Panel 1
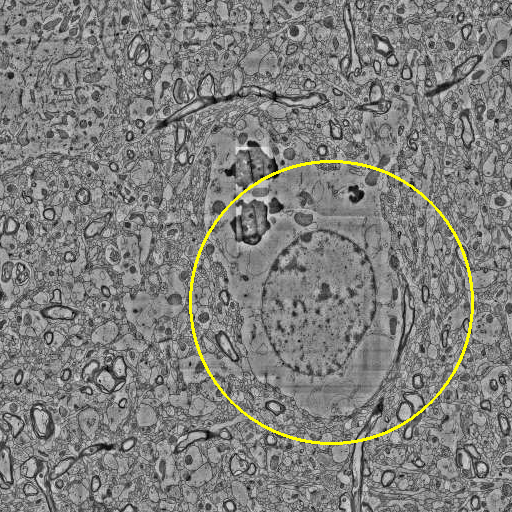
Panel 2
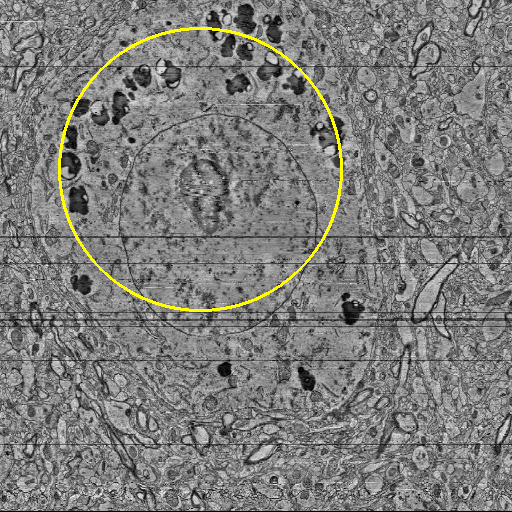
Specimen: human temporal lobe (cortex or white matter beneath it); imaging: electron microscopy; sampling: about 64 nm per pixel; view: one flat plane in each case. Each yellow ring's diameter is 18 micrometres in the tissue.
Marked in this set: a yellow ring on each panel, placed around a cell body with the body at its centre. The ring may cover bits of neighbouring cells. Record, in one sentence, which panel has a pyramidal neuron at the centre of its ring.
Panel 2 has it at the centre of its ring.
